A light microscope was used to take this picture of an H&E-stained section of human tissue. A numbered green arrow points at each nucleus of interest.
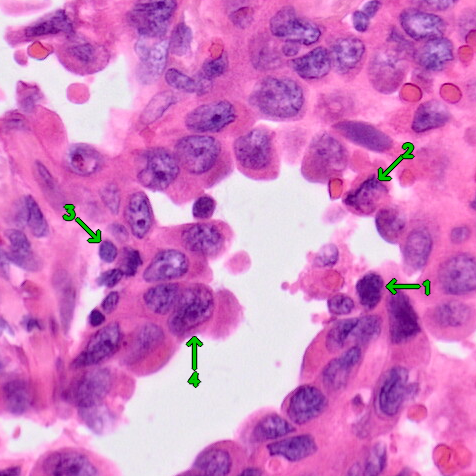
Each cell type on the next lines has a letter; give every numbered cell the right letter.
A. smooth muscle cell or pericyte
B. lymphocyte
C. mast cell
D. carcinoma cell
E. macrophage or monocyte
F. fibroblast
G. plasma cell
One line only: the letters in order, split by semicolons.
D; D; B; D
